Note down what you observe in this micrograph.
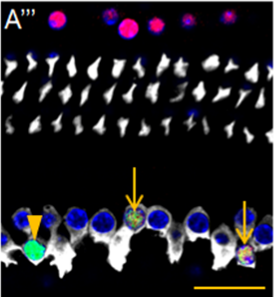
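A surface view of the organ of Corti with three orderly rows of outer hair cells, seen as small white angular profiles, above a single row of larger, rounded inner hair cells. A few cells in the inner hair cell row carry a green label, some of them with red-tinged nuclei, and round red nuclei of other cells lie scattered in a line above the outer rows.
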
